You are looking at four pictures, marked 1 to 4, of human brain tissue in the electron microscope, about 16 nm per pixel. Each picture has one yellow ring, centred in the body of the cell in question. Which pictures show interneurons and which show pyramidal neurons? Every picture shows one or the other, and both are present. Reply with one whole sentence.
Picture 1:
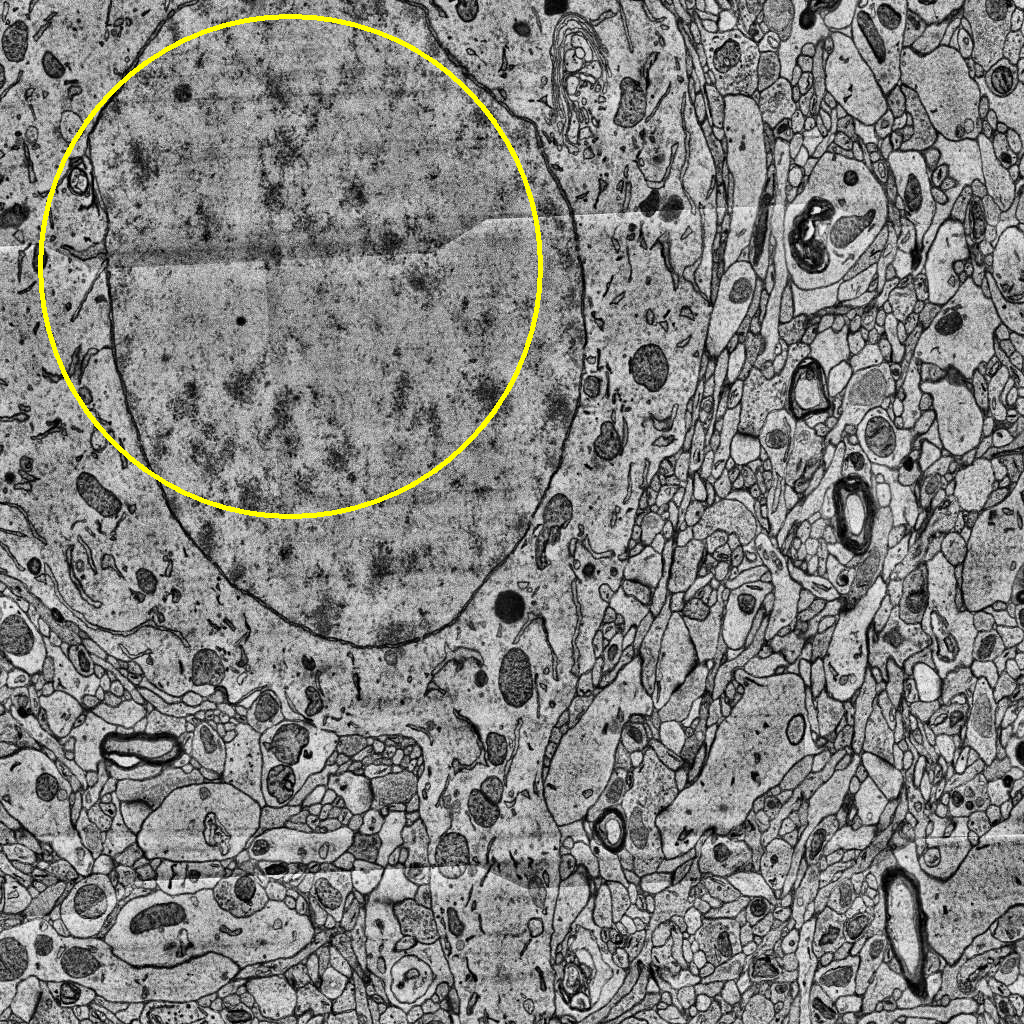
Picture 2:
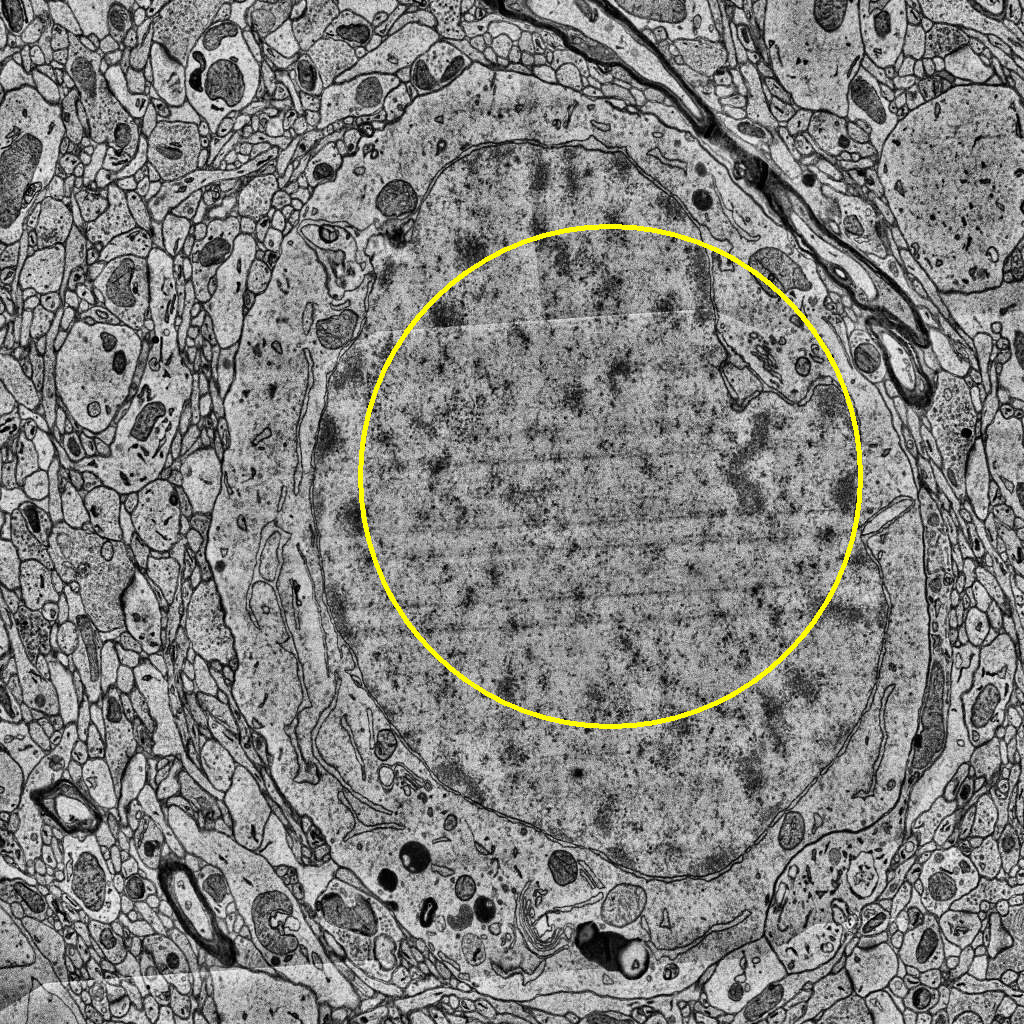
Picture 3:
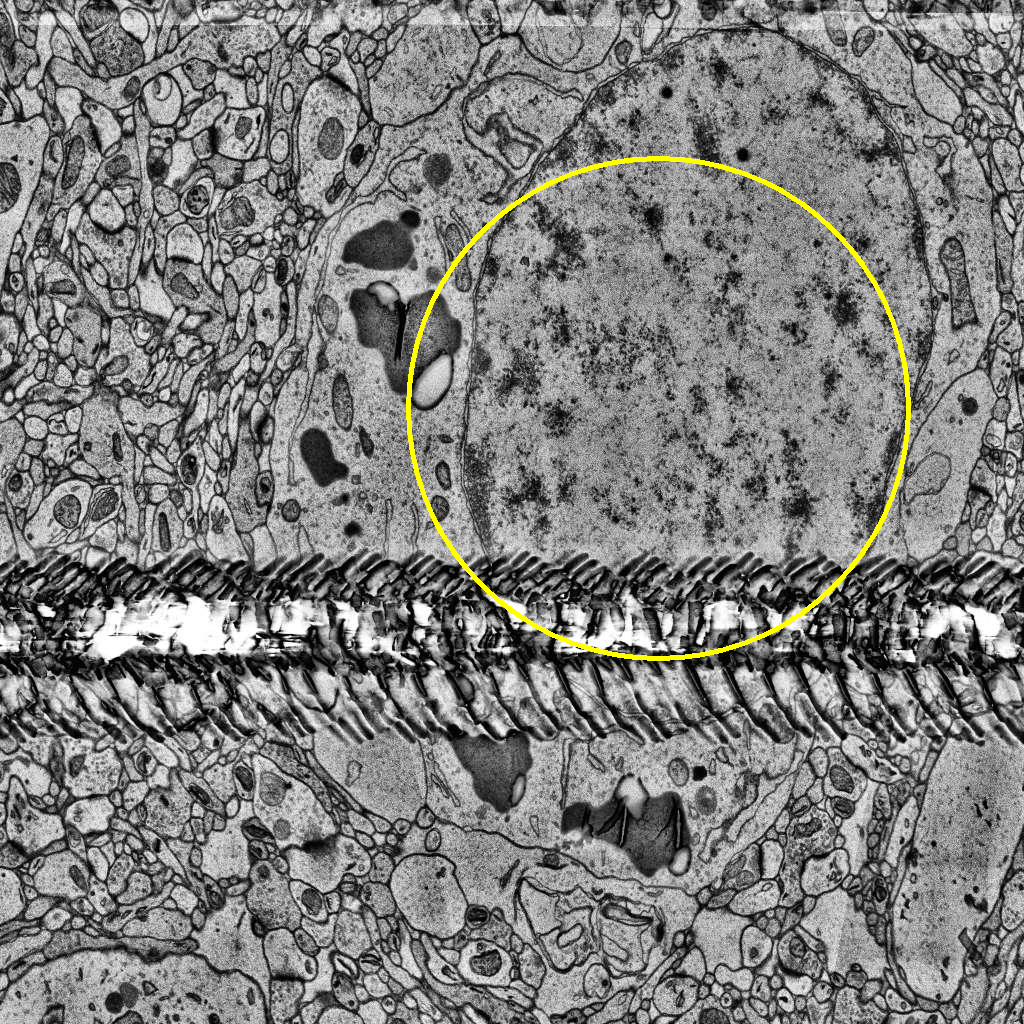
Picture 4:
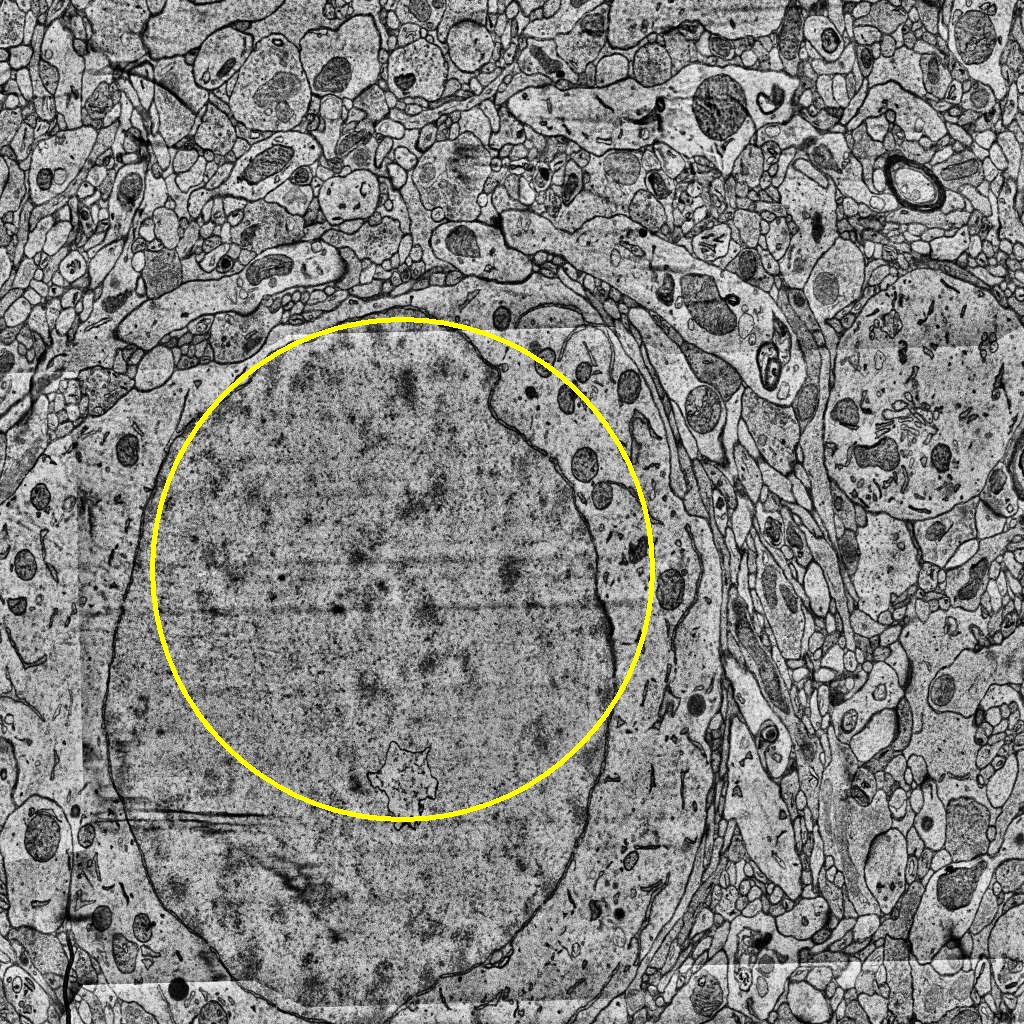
Pictures 2 and 3 show interneurons; pictures 1 and 4 show pyramidal neurons.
